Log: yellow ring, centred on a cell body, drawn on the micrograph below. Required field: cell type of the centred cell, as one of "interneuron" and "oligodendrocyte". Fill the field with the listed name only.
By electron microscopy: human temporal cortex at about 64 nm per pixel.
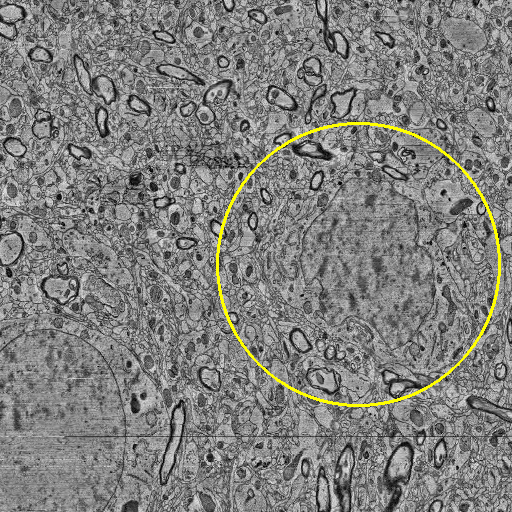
interneuron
